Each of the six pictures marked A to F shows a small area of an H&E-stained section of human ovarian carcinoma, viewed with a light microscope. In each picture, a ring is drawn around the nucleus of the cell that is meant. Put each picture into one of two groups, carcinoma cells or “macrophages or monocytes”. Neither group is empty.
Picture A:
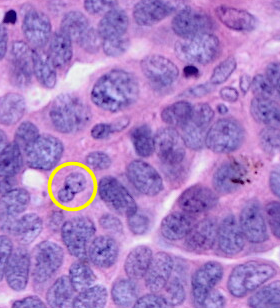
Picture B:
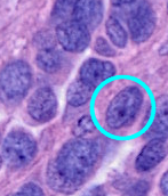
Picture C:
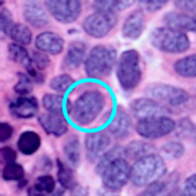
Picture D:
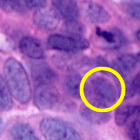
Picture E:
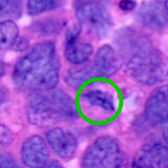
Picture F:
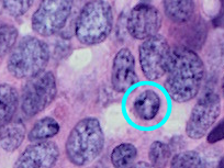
A: macrophage or monocyte
B: carcinoma cell
C: carcinoma cell
D: carcinoma cell
E: macrophage or monocyte
F: macrophage or monocyte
